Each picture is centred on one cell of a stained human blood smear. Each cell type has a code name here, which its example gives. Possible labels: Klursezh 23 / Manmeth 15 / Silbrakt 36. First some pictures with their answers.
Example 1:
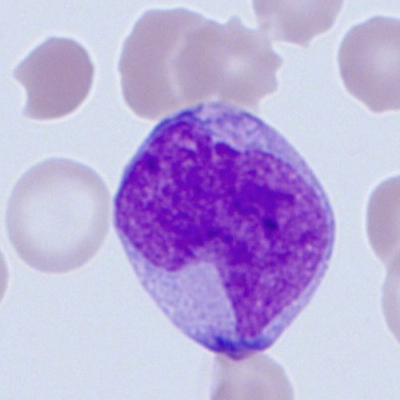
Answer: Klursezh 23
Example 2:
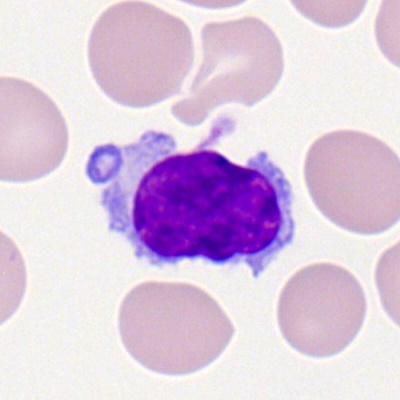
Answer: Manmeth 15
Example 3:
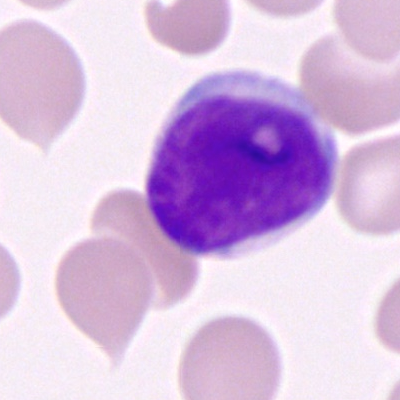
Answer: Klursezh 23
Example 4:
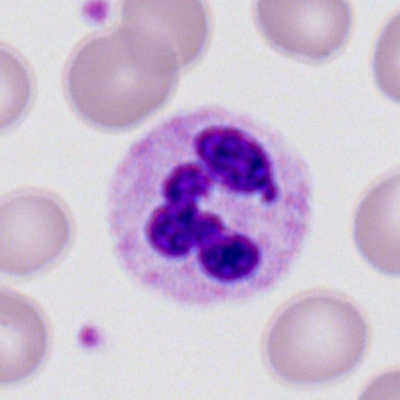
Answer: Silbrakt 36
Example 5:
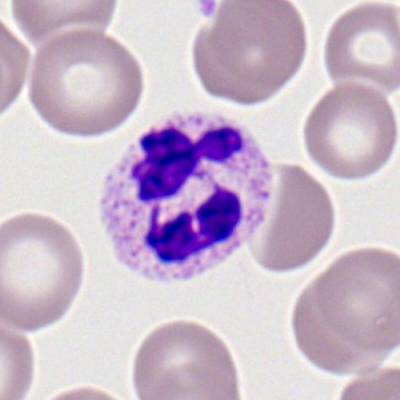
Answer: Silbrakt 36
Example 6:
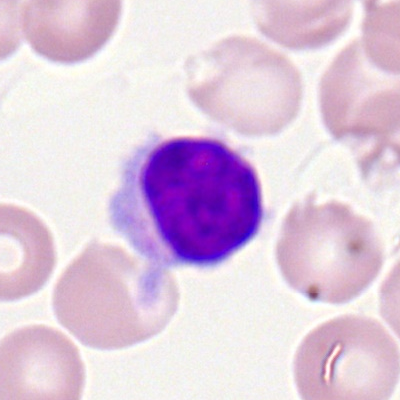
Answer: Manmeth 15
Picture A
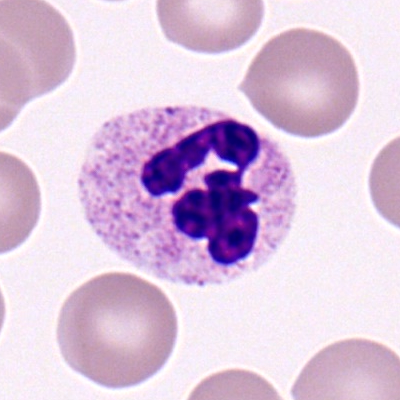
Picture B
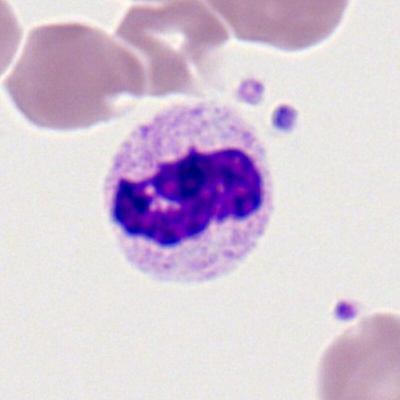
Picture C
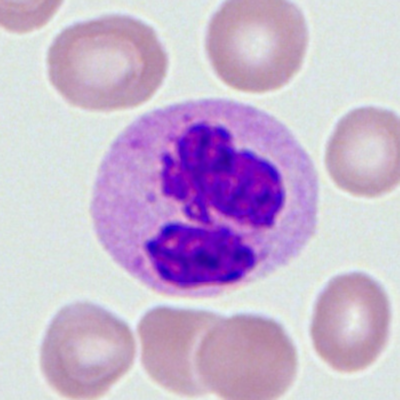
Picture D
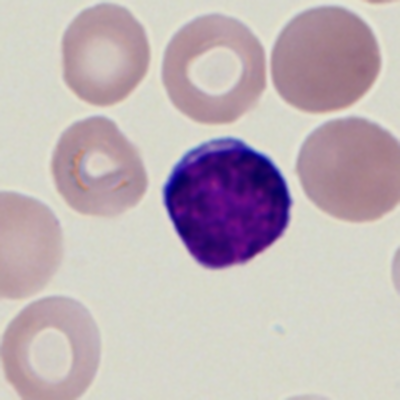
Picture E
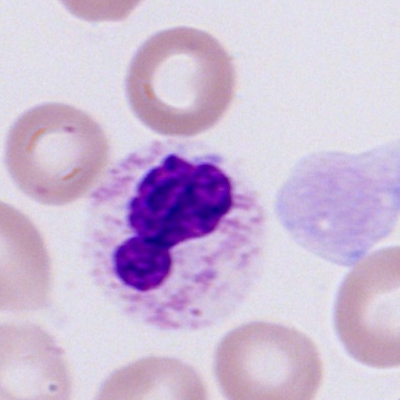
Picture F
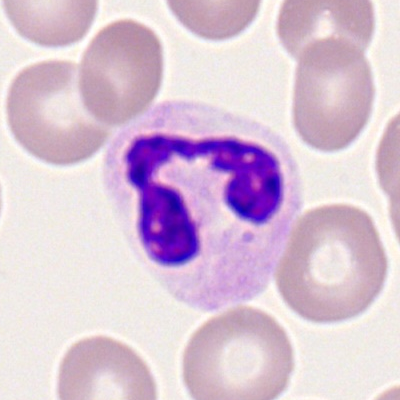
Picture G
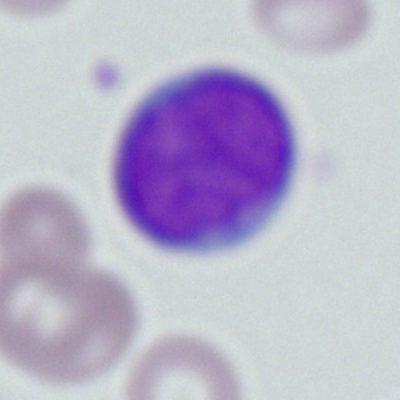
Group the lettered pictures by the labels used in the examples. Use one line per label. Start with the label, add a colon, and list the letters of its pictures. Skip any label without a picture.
Klursezh 23: G
Manmeth 15: D
Silbrakt 36: A, B, C, E, F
